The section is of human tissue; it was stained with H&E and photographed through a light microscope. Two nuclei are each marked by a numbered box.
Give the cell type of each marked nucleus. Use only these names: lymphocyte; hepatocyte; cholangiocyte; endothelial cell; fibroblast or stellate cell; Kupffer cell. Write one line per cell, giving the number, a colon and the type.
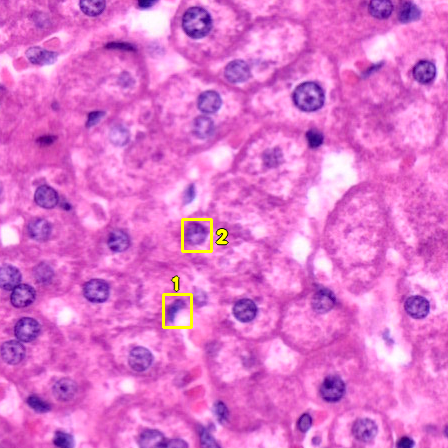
1: endothelial cell
2: hepatocyte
